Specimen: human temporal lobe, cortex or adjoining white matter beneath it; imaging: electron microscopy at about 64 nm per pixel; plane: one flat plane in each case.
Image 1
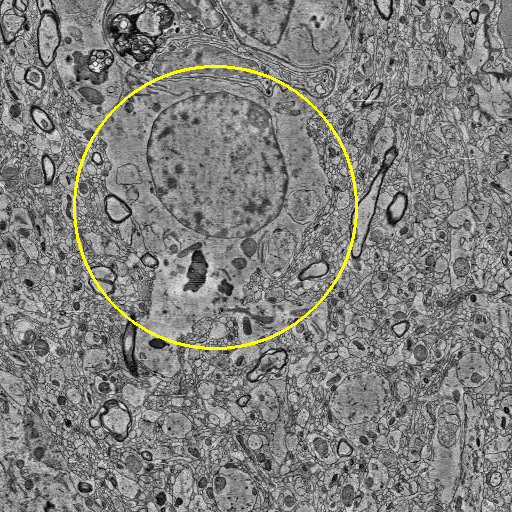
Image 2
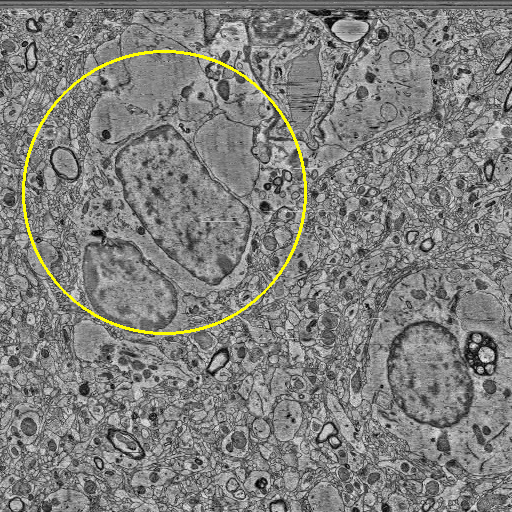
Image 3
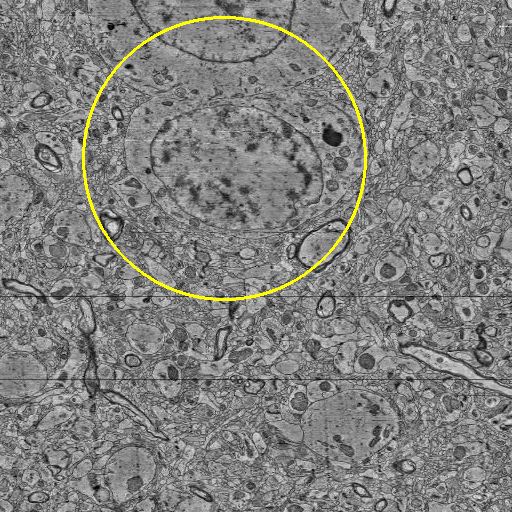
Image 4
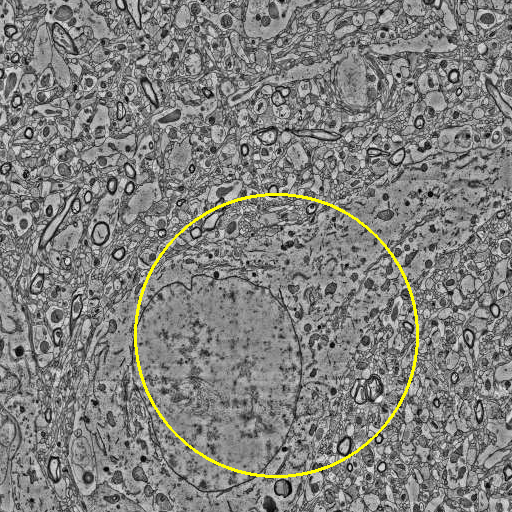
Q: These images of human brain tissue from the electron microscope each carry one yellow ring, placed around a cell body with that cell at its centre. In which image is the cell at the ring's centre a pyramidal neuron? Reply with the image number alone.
4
